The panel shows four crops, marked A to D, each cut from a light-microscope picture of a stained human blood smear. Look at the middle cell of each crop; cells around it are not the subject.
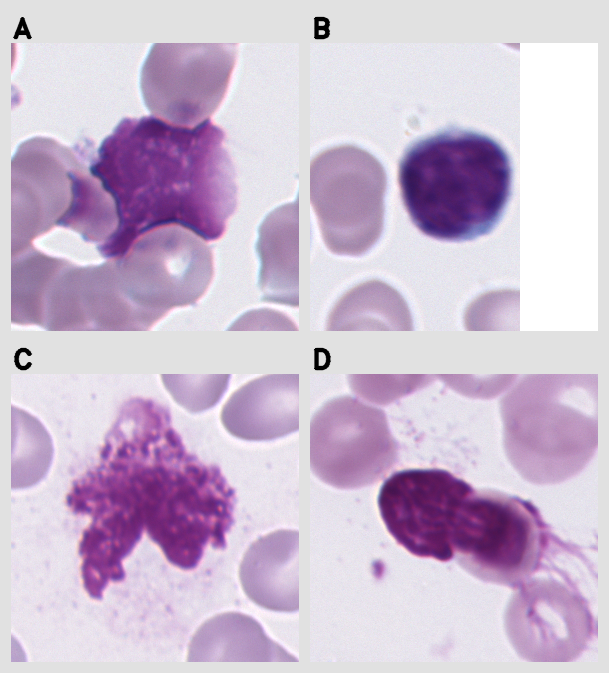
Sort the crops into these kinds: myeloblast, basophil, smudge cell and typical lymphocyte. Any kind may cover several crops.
A: smudge cell
B: typical lymphocyte
C: smudge cell
D: smudge cell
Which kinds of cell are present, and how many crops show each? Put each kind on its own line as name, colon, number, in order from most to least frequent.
smudge cell: 3
typical lymphocyte: 1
